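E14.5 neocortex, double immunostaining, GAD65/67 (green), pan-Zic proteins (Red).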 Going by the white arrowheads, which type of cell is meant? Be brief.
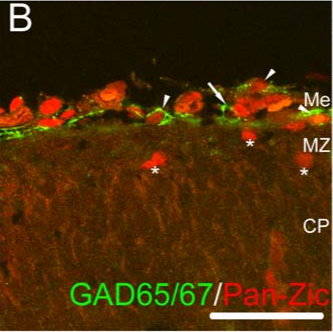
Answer: Meningeal fibroblasts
